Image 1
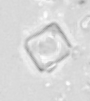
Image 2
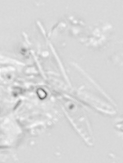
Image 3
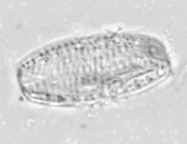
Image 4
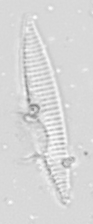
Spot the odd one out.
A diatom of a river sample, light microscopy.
Picture 1 (Thalassiosira among Nitzschia).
